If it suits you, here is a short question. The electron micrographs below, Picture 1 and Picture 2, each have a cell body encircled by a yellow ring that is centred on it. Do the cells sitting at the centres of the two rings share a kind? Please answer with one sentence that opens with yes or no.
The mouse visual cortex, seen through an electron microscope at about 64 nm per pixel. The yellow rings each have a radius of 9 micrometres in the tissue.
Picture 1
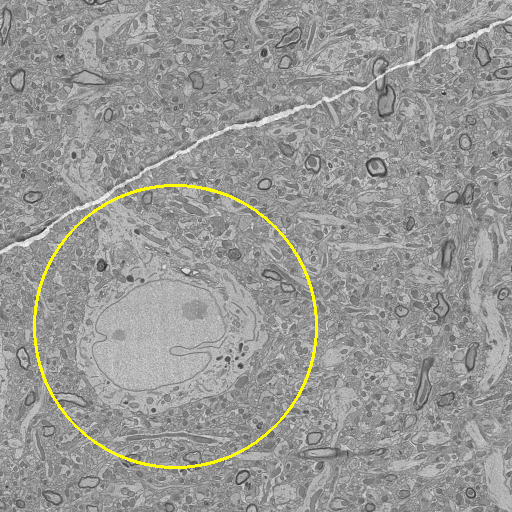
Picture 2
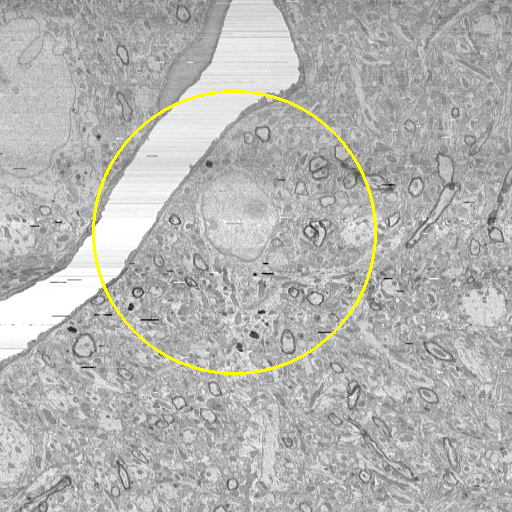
No, the two cells sitting at the ring centres fall into two kinds.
